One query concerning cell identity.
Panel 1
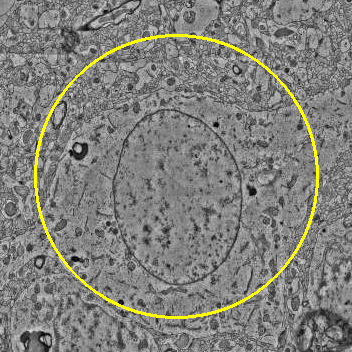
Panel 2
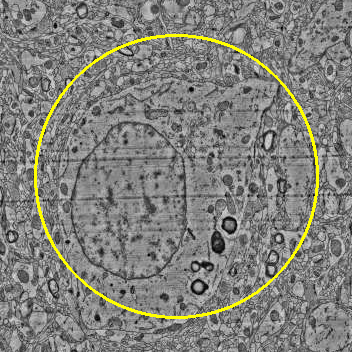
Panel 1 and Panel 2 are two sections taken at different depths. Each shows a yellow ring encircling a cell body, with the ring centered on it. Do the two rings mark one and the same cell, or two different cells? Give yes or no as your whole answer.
no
